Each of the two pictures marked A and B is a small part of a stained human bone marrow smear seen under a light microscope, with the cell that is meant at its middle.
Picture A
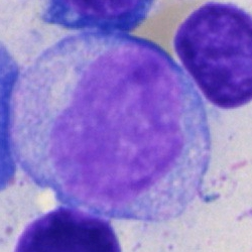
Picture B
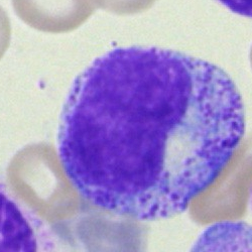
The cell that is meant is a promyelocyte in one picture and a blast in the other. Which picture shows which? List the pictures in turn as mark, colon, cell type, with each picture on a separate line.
A: blast
B: promyelocyte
